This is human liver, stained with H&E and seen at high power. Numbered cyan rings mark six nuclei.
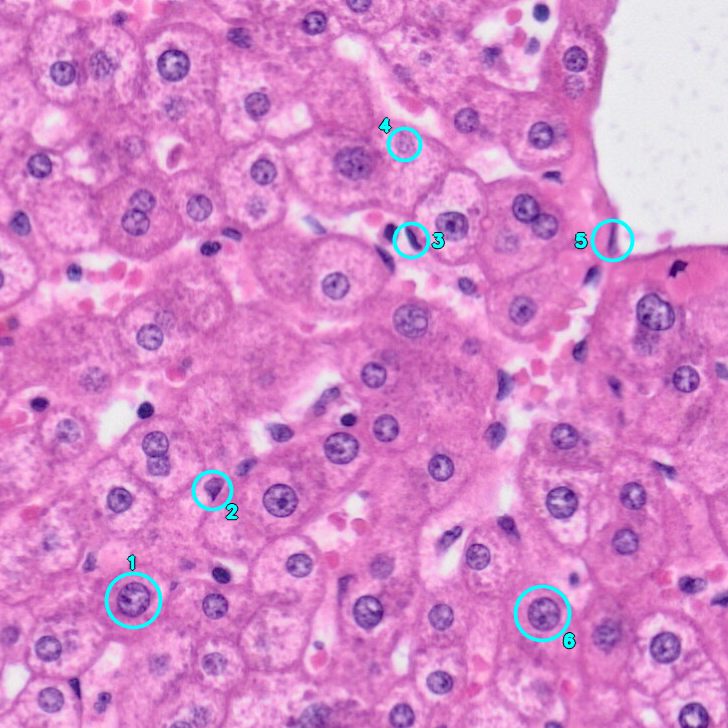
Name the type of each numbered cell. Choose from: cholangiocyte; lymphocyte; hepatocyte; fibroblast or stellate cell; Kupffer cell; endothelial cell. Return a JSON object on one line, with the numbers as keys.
{"1": "hepatocyte", "2": "endothelial cell", "3": "endothelial cell", "4": "hepatocyte", "5": "fibroblast or stellate cell", "6": "hepatocyte"}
